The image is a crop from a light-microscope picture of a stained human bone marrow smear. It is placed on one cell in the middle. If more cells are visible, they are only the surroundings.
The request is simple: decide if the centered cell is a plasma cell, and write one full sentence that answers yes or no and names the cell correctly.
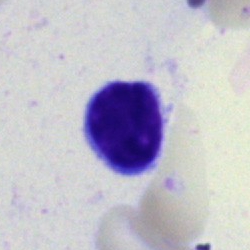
No, the correct answer for the middle cell is a lymphocyte, not a plasma cell.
